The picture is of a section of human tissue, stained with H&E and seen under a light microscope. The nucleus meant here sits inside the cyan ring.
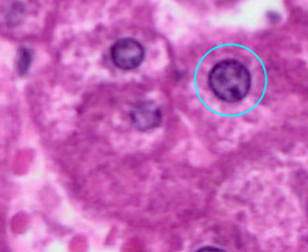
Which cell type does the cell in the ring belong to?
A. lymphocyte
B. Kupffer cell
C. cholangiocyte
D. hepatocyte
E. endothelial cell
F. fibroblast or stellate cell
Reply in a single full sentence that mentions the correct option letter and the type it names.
What option D states, that the cell in the ring is a hepatocyte, is correct.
